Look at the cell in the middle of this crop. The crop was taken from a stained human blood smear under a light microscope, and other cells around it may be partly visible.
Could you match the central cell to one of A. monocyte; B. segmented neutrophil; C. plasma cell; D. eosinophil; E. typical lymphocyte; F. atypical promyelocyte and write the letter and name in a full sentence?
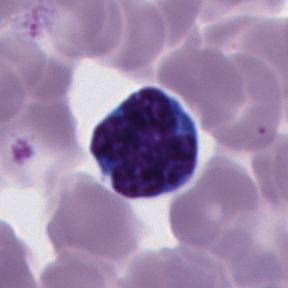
The cell at the heart of the crop is a typical lymphocyte, so choose option E.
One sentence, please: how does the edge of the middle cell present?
Thanks for asking; the cell edge is smooth and has no projections.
